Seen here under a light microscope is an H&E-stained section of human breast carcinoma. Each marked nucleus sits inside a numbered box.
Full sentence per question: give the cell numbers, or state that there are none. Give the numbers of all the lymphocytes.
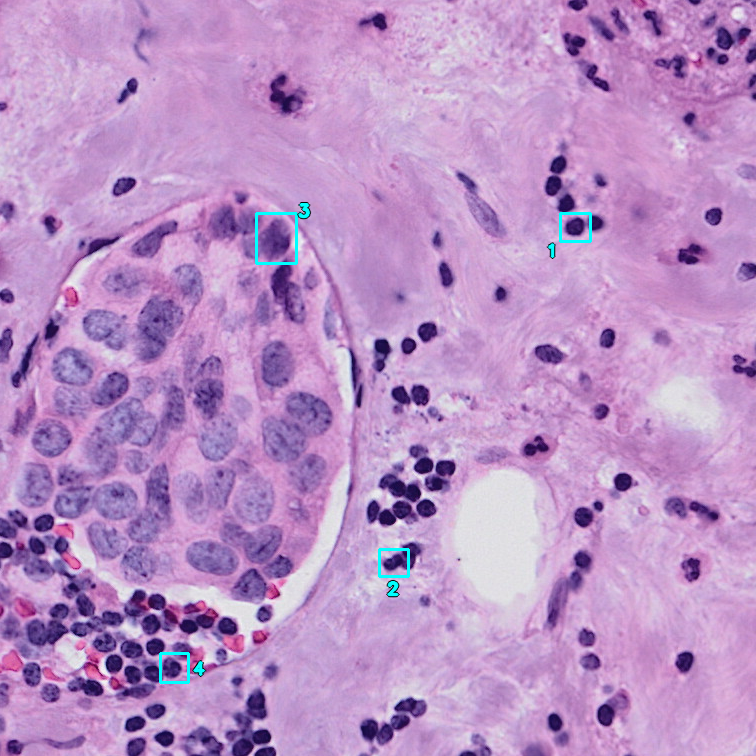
Classified as lymphocytes are the cells numbered 1, 2 and 4.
